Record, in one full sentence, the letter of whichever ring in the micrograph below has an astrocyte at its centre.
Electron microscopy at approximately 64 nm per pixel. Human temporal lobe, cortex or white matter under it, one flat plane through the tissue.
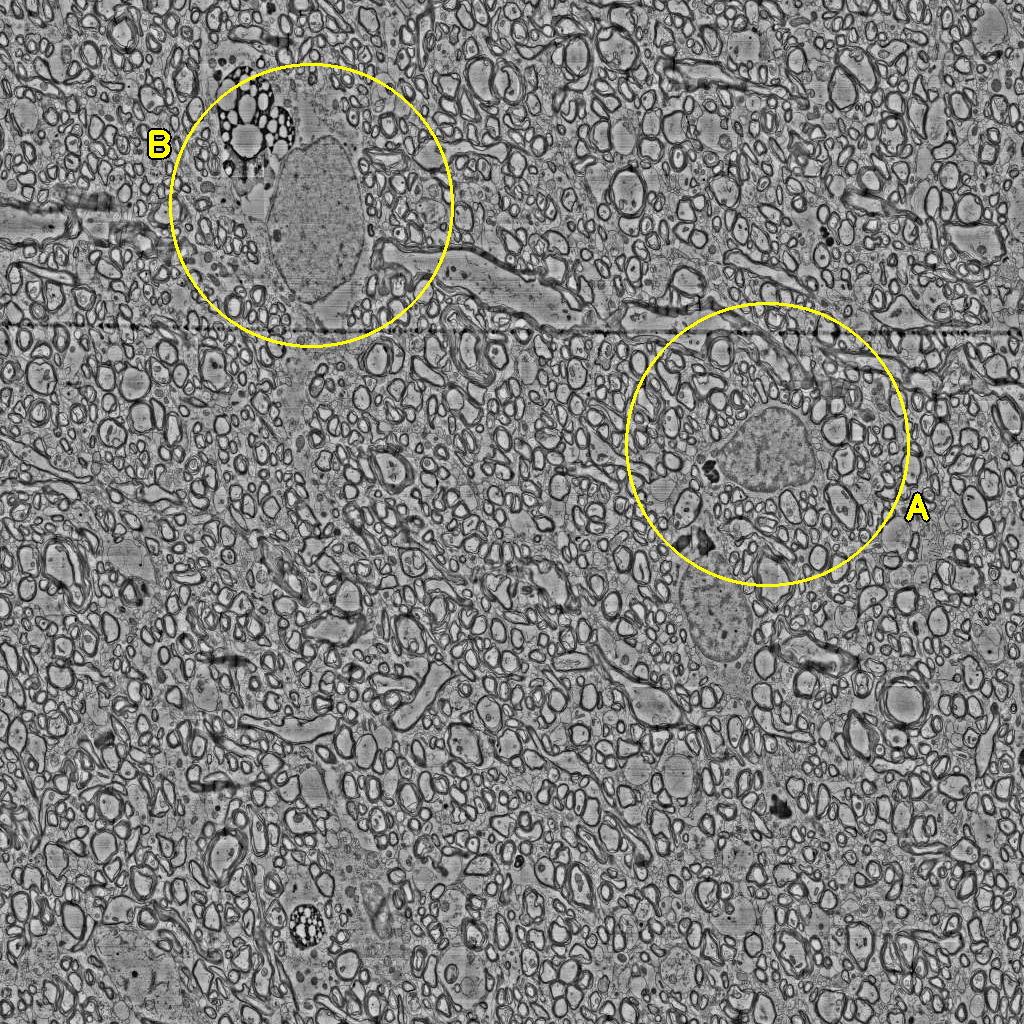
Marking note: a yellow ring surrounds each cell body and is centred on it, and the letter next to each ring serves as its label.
For the cell asked for, the ring centred on it carries the letter B.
